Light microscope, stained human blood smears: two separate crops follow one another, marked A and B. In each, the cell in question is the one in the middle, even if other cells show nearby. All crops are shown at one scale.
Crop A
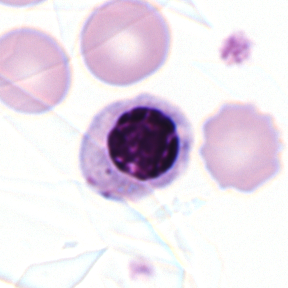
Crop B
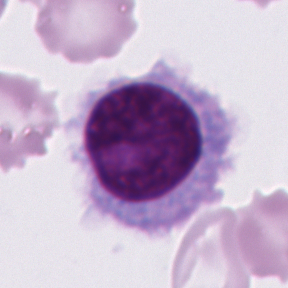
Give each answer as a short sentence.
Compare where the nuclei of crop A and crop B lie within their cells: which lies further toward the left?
The nucleus in crop B lies further toward the left of its cell.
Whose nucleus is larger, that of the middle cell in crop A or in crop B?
It is the nucleus in crop B, about 2.5 times as large in area as the one in crop A.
